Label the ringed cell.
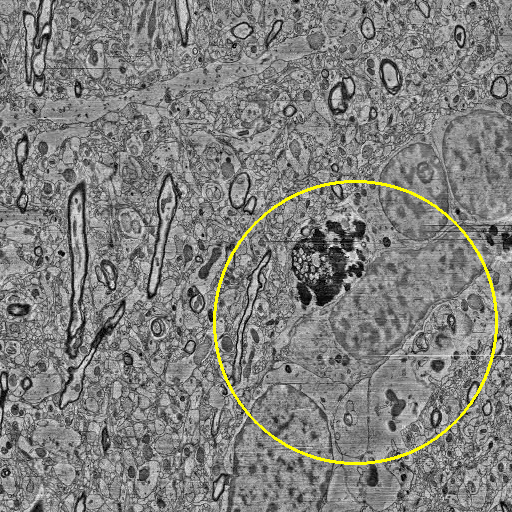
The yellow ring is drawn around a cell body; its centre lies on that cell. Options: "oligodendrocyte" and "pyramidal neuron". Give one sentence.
The ringed cell is an oligodendrocyte.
